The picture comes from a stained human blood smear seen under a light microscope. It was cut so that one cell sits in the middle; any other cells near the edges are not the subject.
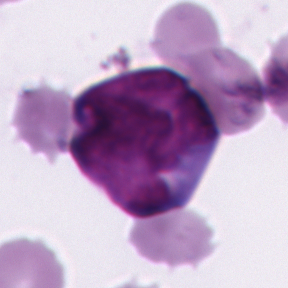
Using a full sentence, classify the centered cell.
Centrally within this crop lies a myeloblast.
